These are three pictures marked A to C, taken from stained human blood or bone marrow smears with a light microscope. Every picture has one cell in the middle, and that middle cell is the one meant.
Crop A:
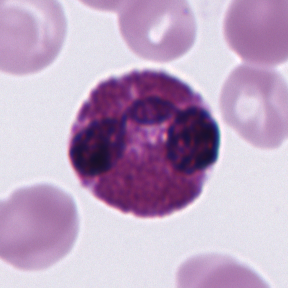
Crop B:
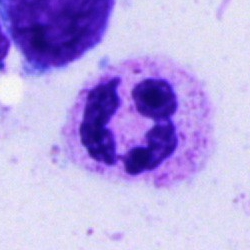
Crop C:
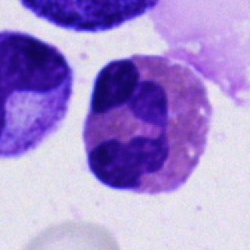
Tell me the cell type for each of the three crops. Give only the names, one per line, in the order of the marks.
eosinophil
segmented neutrophil
eosinophil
